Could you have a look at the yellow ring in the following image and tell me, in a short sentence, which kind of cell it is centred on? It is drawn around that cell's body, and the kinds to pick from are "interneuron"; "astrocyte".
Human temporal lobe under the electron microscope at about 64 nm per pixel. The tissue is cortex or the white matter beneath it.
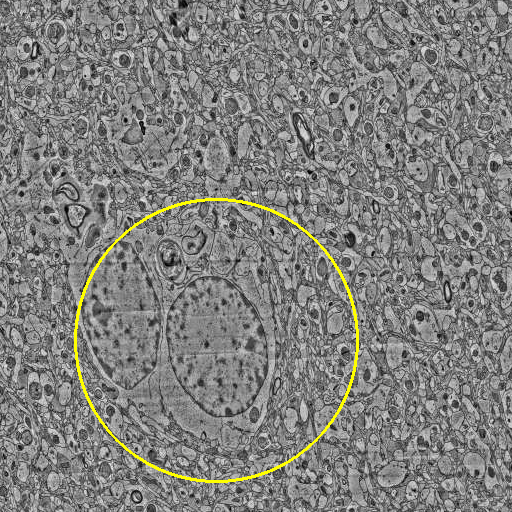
The ring is centred on the body of an astrocyte.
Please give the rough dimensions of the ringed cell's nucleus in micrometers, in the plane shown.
Roughly 9 by 6 micrometres in this plane, for the nucleus of the ringed cell.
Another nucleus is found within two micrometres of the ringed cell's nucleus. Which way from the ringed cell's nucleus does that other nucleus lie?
The other nucleus is located to the upper left of it.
